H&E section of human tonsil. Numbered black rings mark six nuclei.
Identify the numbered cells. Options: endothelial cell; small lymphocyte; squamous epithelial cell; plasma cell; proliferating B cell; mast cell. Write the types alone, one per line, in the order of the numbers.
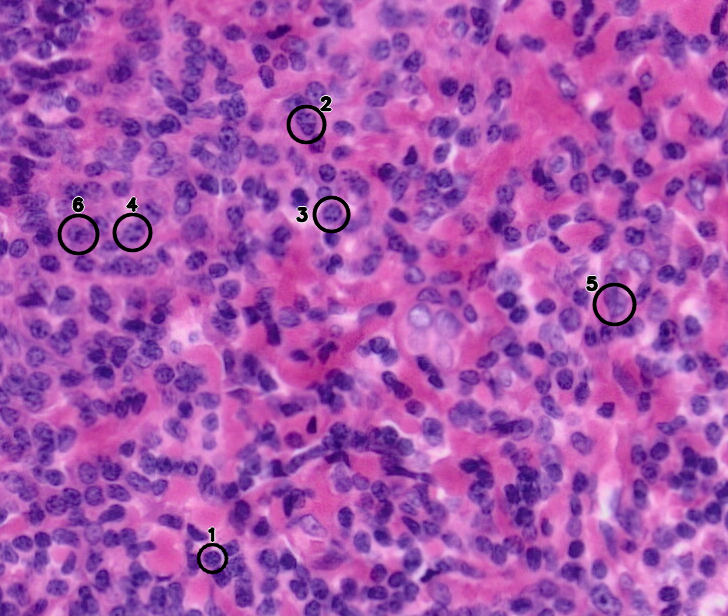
small lymphocyte
plasma cell
plasma cell
plasma cell
endothelial cell
plasma cell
